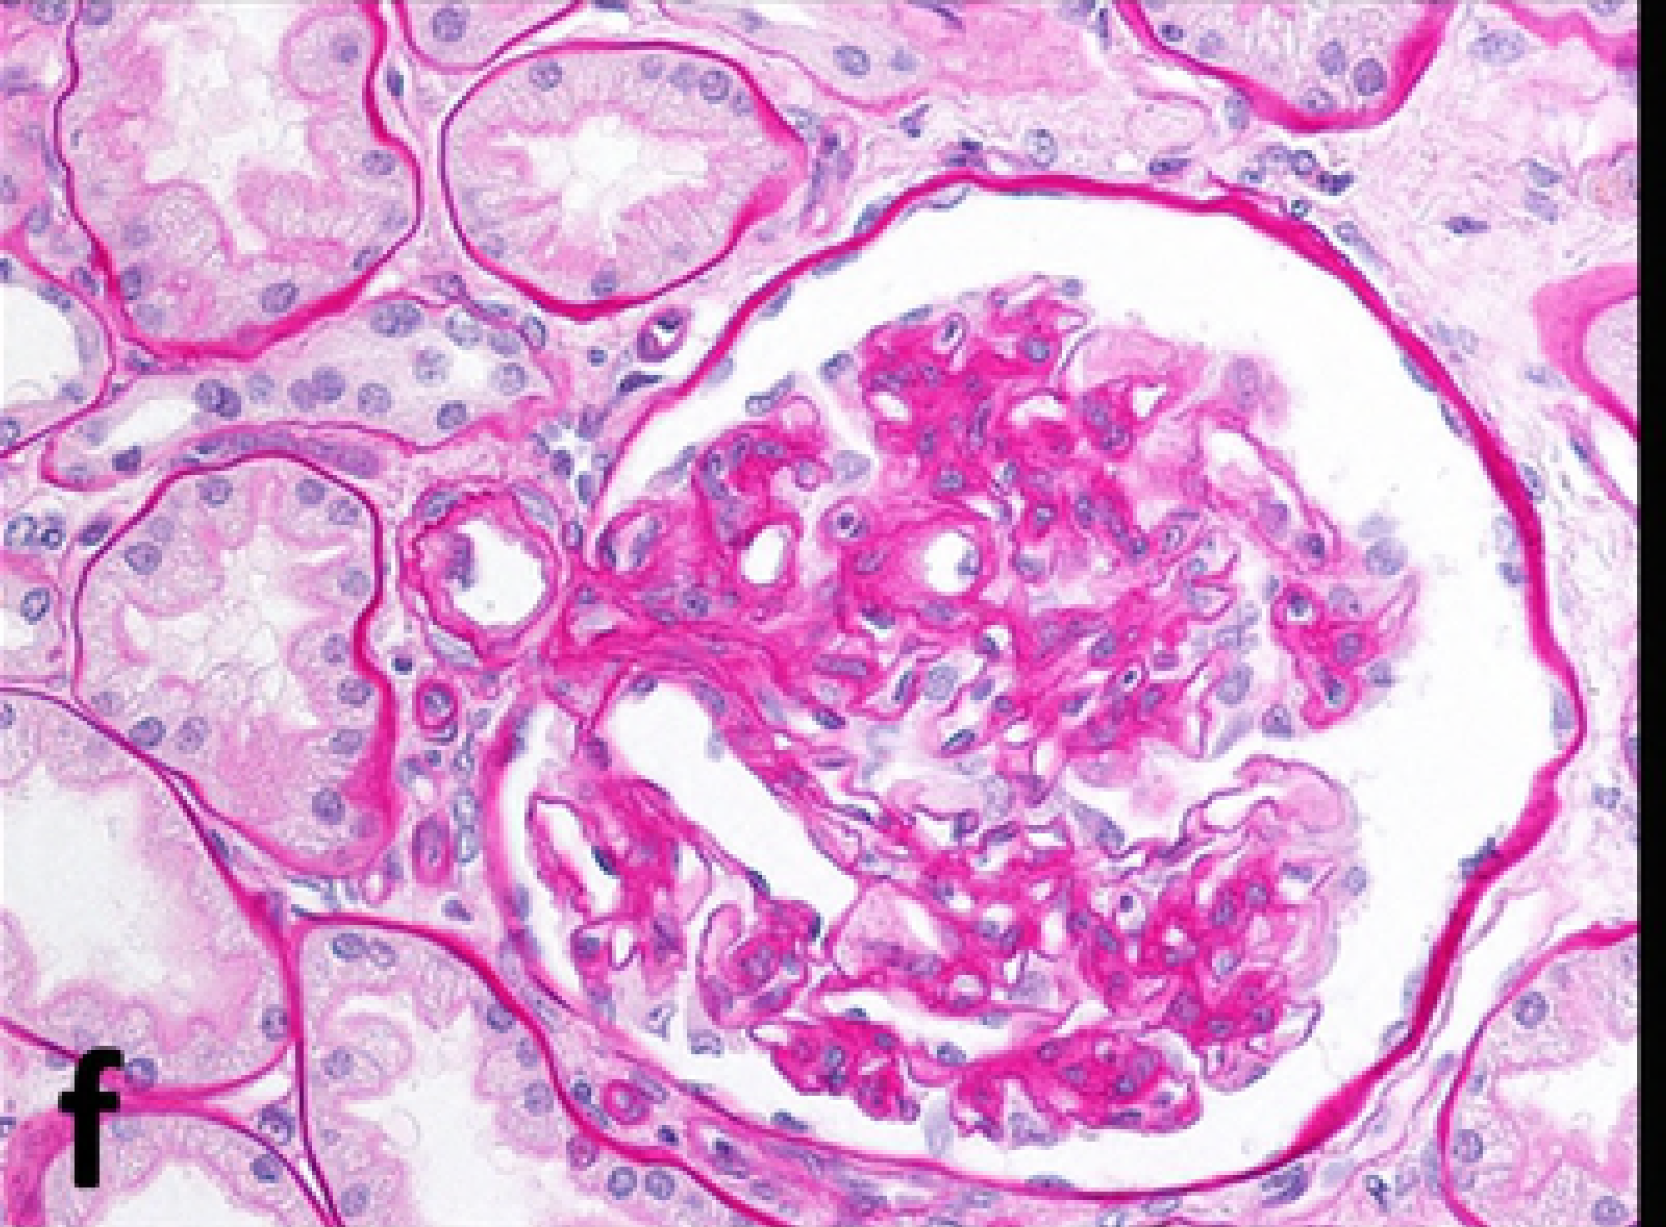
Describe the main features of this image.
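Capillary lumens show as small open holes between the matrix areas, and nuclei are scattered among them. The tuft is separated from the thin magenta capsule by a clear urinary space. Around the glomerulus lie tubules with cuboidal epithelium and their own magenta basement membranes, and a small arteriole sits at the hilum on the left side of the tuft.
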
